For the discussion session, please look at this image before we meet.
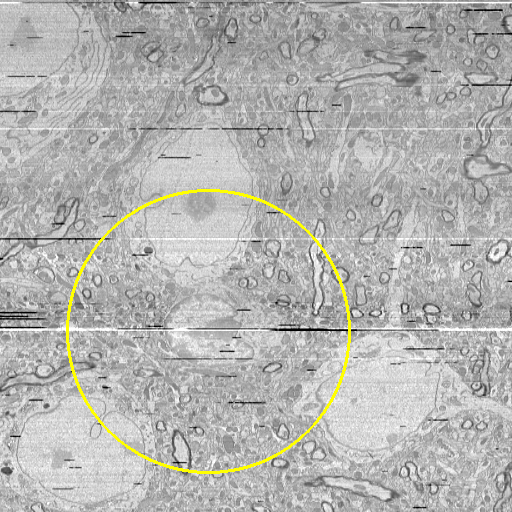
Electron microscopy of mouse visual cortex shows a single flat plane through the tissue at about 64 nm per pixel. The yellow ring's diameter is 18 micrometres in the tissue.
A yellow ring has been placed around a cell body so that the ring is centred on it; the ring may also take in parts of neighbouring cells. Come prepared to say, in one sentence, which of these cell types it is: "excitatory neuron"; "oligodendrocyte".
The cell centred in the ring is an oligodendrocyte.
